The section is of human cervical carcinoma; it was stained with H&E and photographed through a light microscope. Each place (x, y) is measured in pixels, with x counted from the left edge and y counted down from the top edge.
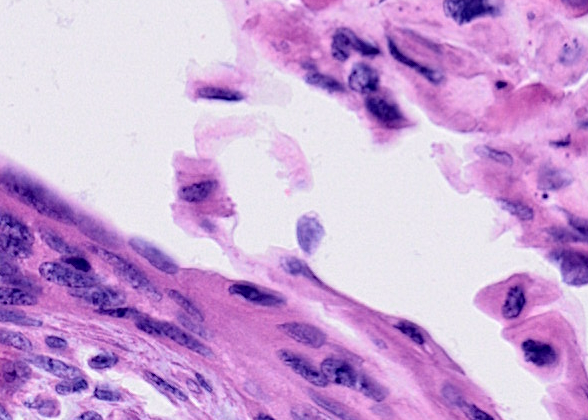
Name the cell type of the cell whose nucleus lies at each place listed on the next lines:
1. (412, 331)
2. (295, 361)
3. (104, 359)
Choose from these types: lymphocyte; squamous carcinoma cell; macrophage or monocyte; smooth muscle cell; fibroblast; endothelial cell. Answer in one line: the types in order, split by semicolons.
squamous carcinoma cell; squamous carcinoma cell; macrophage or monocyte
